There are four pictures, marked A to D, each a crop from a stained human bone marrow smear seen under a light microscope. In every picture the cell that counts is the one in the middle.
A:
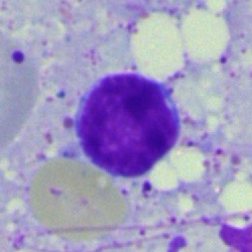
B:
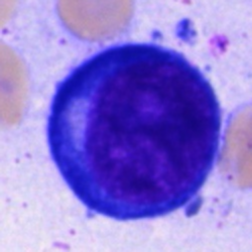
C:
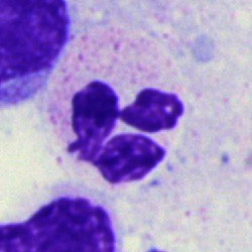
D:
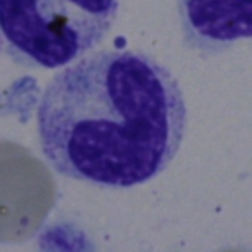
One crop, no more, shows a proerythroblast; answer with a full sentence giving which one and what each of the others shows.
In the set, crop B shows a proerythroblast, whereas crop A is a lymphocyte, crop C is a segmented neutrophil and crop D is a band neutrophil.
